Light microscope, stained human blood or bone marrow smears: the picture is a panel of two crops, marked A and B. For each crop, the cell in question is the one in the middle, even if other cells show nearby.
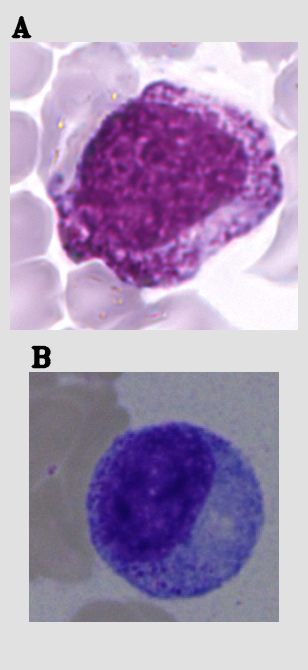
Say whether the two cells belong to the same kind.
yes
